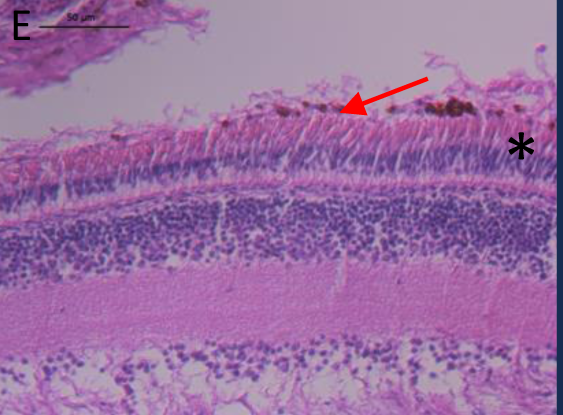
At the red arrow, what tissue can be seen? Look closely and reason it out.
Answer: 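Pigment layer. The arrow points to scattered small clumps of brown pigment. The clumps lie at the outer edge of the retina above the pink photoreceptor layer.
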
